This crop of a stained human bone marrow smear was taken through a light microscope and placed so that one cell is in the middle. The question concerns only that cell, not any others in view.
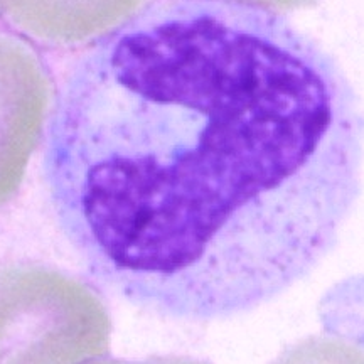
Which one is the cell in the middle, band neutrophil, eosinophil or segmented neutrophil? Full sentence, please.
Centrally within this crop lies a band neutrophil.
